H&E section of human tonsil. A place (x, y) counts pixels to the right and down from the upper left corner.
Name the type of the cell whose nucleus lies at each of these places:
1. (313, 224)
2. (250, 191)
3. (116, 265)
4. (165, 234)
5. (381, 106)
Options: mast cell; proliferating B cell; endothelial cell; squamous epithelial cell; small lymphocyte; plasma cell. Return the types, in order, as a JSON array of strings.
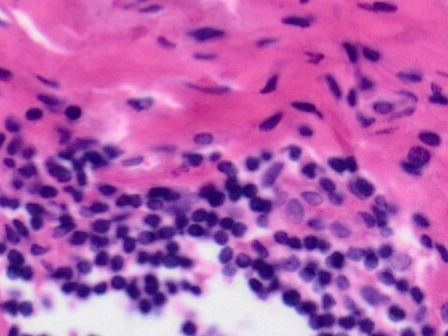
["endothelial cell", "small lymphocyte", "small lymphocyte", "small lymphocyte", "endothelial cell"]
